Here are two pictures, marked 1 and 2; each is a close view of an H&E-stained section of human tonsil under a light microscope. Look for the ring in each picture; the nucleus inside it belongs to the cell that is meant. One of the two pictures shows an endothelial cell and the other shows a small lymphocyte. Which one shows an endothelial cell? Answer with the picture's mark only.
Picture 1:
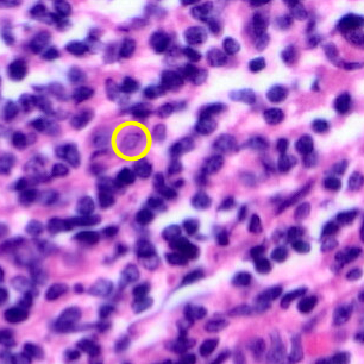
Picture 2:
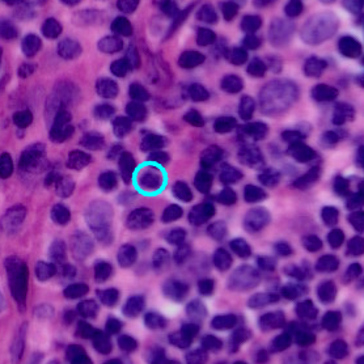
1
